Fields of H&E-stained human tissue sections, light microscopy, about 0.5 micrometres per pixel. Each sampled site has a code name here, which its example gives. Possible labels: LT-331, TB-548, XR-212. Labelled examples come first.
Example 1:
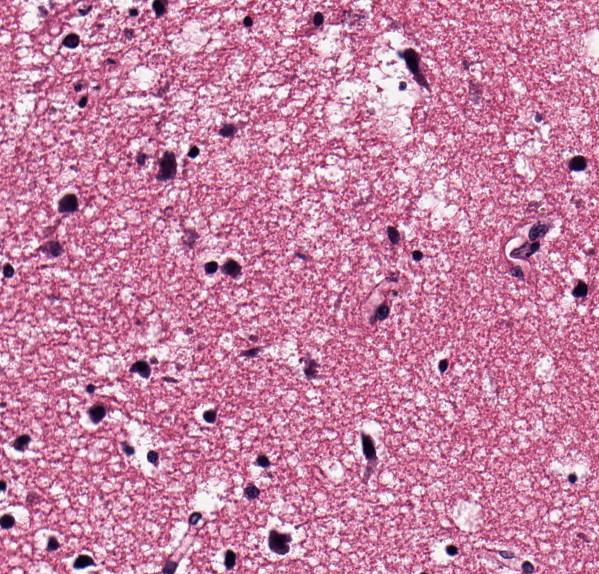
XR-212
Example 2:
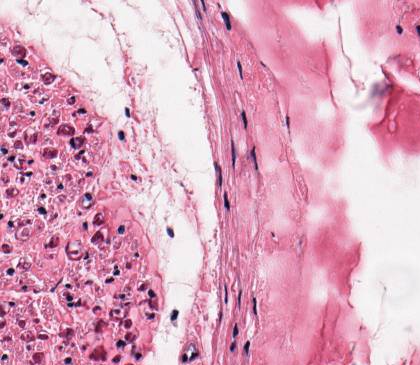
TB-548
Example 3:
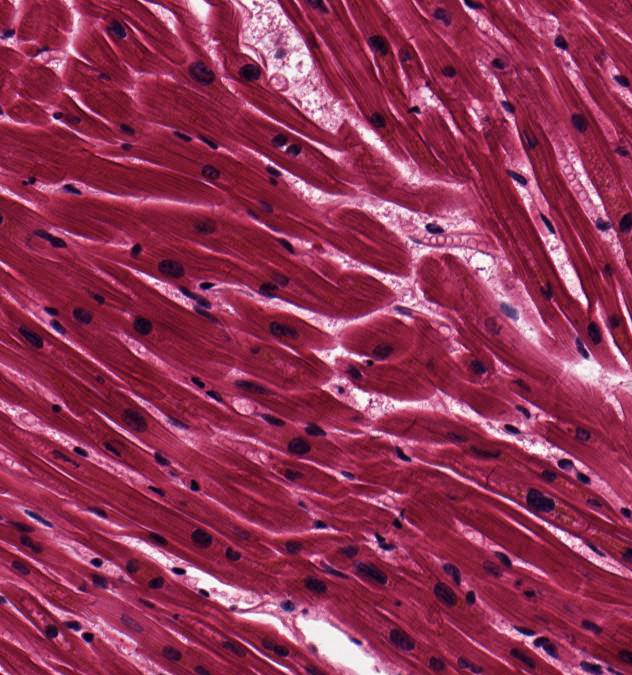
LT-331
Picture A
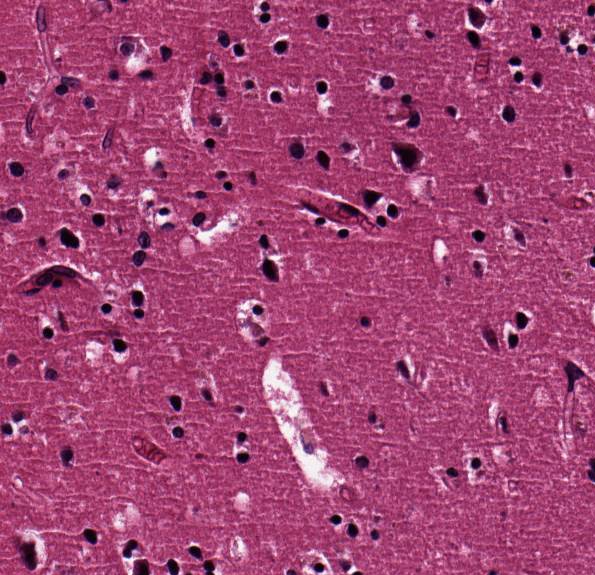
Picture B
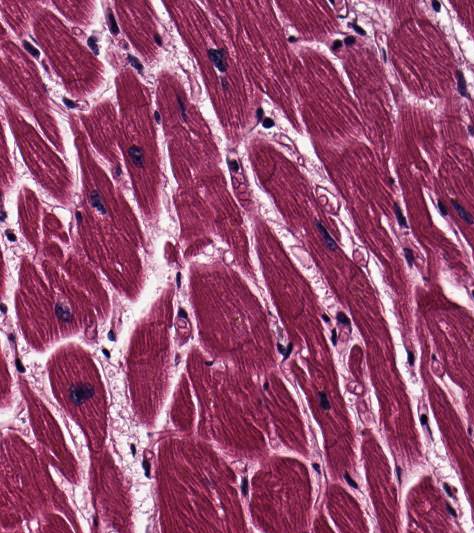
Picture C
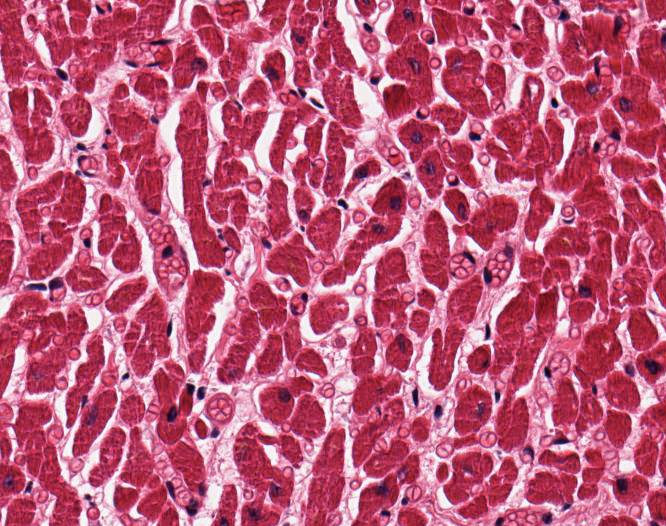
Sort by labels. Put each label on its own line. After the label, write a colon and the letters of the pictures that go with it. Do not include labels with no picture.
LT-331: B, C
XR-212: A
